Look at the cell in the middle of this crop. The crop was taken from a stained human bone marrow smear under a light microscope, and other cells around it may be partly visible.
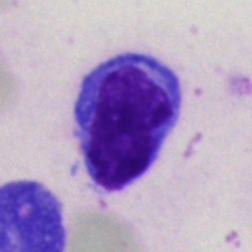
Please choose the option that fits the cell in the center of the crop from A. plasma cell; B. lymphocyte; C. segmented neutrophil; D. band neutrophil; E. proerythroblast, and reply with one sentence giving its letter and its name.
The central cell in this crop is a lymphocyte, so the correct choice is option B.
